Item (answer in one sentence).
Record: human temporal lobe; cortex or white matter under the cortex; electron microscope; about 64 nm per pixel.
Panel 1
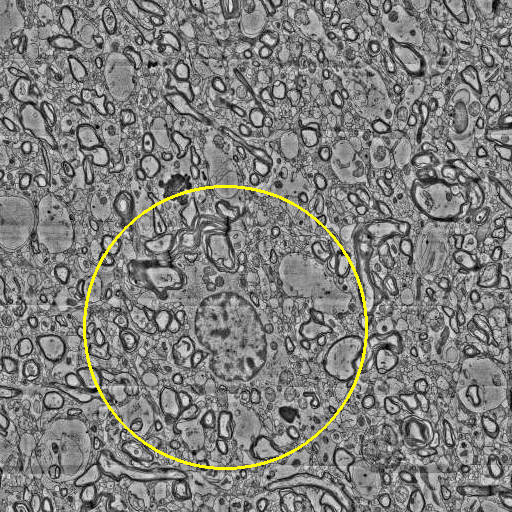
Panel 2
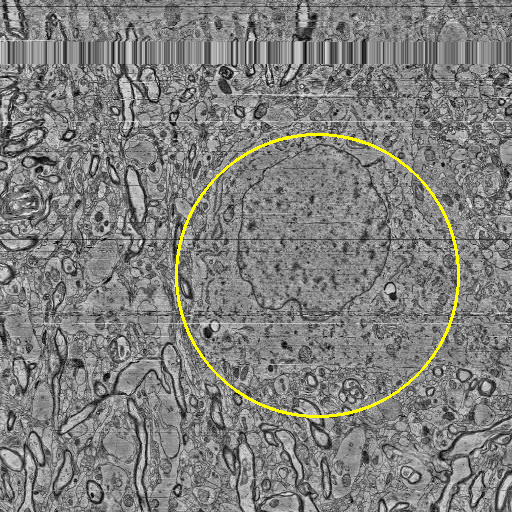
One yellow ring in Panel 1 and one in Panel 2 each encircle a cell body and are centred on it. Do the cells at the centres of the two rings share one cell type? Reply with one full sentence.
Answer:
No, Panel 1 and Panel 2 show cells of two types at the centres of their rings.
